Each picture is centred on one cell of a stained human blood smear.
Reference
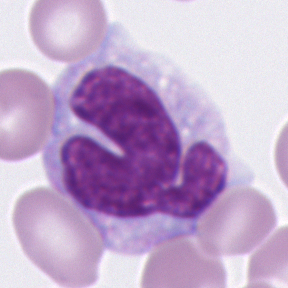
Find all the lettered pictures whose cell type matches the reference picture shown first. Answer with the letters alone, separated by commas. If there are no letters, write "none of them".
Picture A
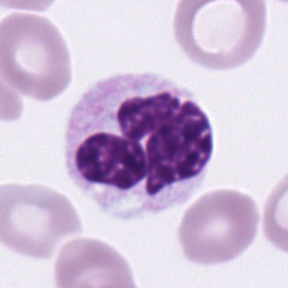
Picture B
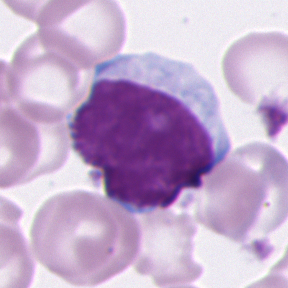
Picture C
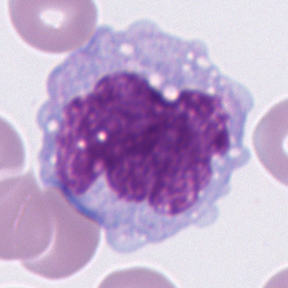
C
